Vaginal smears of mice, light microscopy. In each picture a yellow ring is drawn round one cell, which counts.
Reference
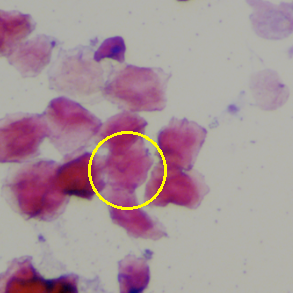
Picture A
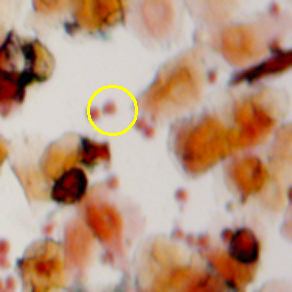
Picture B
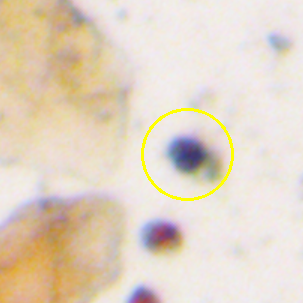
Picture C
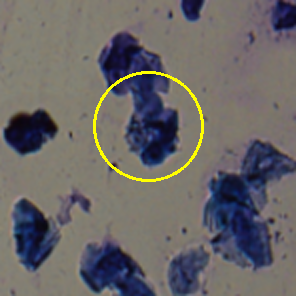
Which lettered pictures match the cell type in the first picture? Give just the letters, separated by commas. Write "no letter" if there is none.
C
